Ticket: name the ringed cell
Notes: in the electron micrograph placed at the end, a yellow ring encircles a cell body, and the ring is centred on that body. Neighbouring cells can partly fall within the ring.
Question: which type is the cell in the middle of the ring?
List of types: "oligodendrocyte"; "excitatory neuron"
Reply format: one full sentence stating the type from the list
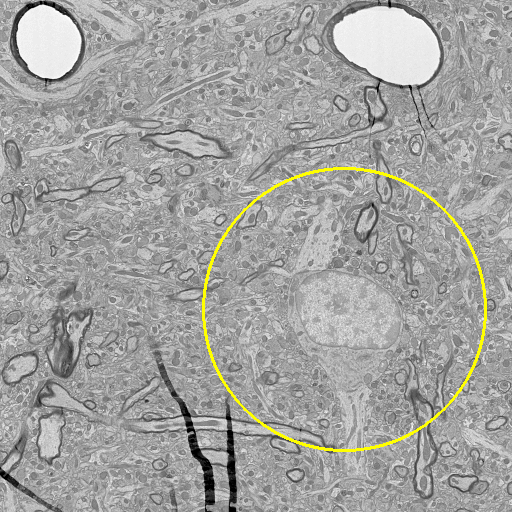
The cell sitting at the centre of the yellow ring is an oligodendrocyte.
